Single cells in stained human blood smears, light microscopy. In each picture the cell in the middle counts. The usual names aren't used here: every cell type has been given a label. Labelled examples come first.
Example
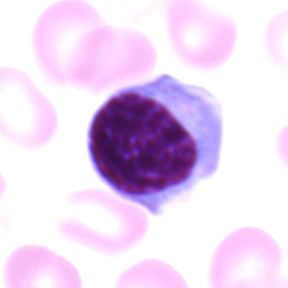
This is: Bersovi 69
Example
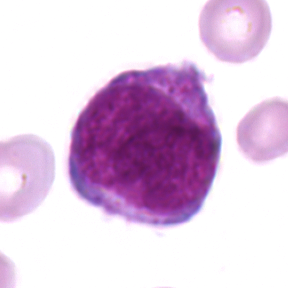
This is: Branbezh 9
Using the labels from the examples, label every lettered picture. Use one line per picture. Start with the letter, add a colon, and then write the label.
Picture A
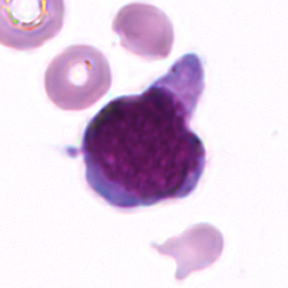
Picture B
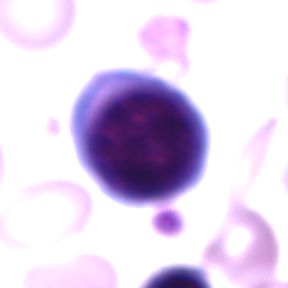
A: Branbezh 9
B: Bersovi 69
